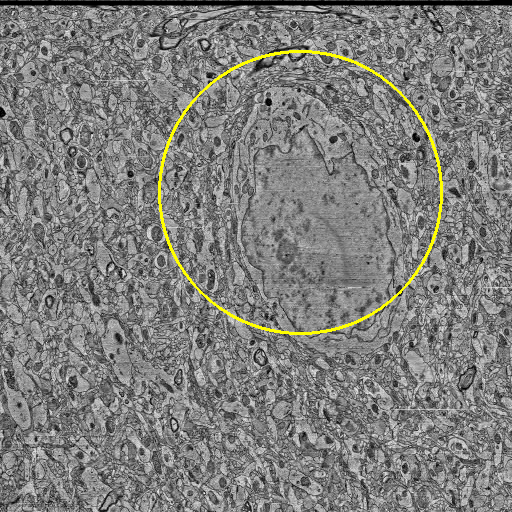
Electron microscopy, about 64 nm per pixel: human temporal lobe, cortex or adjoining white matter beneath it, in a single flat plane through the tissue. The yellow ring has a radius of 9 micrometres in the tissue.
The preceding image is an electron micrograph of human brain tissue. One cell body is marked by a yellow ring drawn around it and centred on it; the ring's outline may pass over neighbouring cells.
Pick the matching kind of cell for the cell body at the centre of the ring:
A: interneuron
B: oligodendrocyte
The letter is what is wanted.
A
